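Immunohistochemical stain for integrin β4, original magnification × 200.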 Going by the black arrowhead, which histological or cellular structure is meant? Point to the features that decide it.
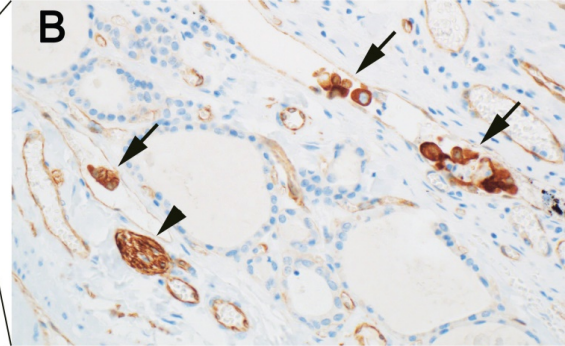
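A small round bundle with wavy, fibrillar brown-stained content. It lies in the stroma beside a vessel, without a lumen.
Hence: peripheral nerves.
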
